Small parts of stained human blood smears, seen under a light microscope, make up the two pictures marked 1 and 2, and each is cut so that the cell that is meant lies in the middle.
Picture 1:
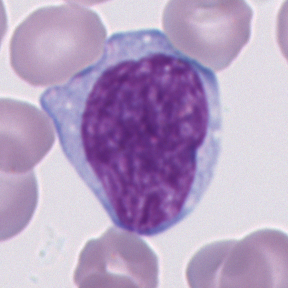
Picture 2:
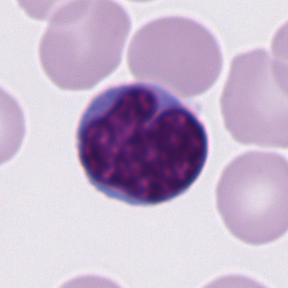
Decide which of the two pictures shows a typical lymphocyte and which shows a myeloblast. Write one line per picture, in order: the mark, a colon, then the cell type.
1: myeloblast
2: typical lymphocyte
